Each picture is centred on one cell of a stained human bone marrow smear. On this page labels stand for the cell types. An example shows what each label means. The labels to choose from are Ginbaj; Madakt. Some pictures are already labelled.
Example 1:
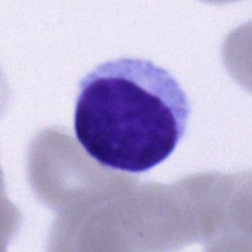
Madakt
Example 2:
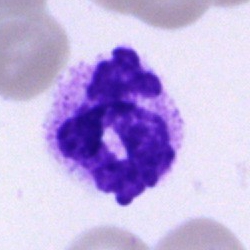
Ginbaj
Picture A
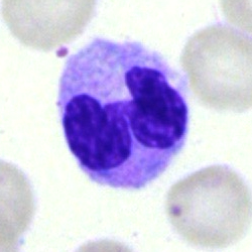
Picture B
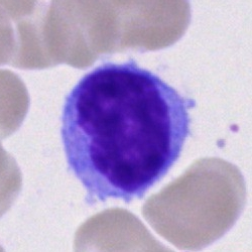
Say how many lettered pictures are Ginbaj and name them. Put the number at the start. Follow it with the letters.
1: A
